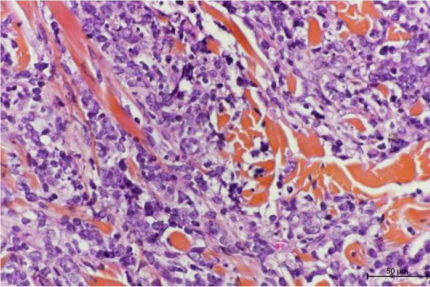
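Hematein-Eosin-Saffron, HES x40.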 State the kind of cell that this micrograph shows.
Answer: Large tumoral cells with cleaved or elongated nuclei.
